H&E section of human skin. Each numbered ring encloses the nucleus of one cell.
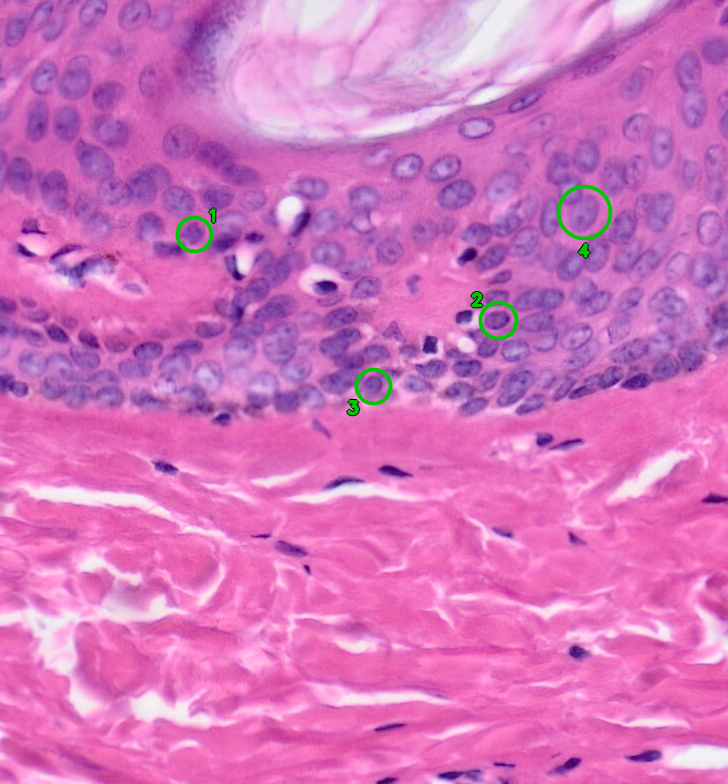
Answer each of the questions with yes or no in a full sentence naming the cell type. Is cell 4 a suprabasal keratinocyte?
Yes, the cell whose number is 4 is a suprabasal keratinocyte.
